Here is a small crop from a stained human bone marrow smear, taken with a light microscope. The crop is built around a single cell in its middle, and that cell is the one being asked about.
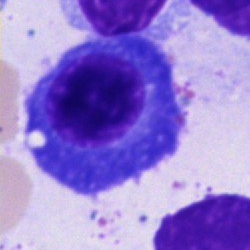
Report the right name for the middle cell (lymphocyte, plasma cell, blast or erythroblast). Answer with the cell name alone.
plasma cell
